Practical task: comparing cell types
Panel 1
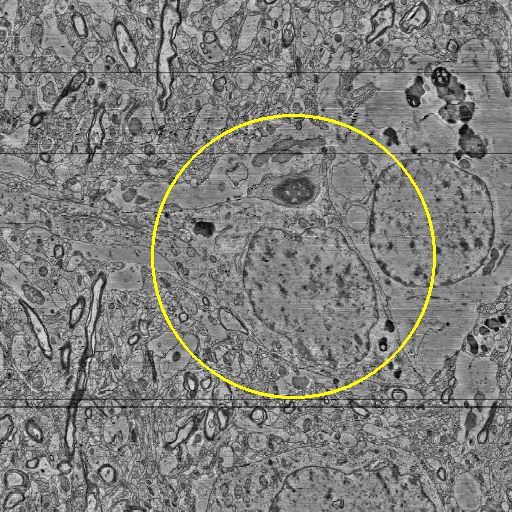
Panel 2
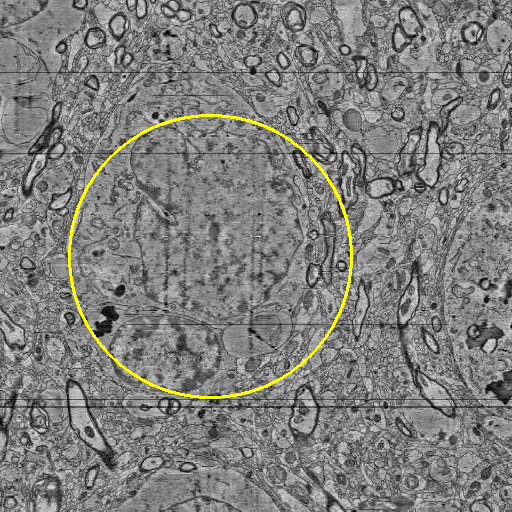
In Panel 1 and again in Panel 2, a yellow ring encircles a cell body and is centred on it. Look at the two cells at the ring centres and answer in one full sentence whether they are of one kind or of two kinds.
The two cells sitting at the ring centres of Panels 1 and 2 are of one kind.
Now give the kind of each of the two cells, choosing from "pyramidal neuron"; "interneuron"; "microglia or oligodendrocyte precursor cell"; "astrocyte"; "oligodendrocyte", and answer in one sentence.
Each of the ringed cells, first and second, is an interneuron.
